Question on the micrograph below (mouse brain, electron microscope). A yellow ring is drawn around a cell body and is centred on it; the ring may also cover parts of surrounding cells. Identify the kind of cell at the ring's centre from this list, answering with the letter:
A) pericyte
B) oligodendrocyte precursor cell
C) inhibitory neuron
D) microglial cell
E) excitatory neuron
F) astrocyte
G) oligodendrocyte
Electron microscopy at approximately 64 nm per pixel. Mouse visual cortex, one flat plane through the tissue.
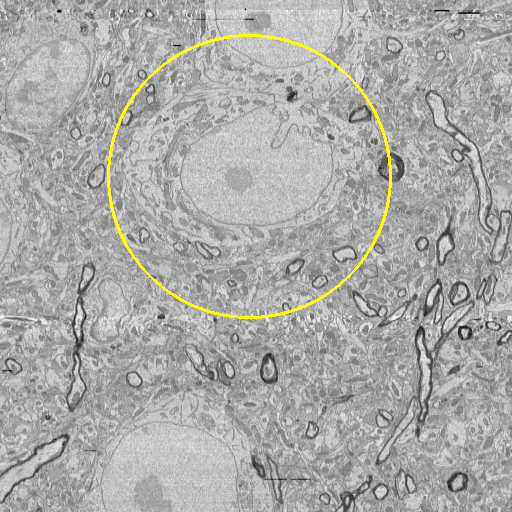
C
